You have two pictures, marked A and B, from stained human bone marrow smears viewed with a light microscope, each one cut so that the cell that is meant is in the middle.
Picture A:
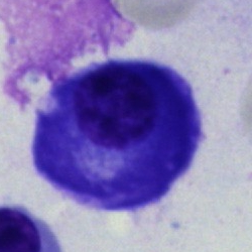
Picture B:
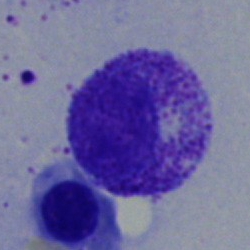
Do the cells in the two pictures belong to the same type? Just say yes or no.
no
